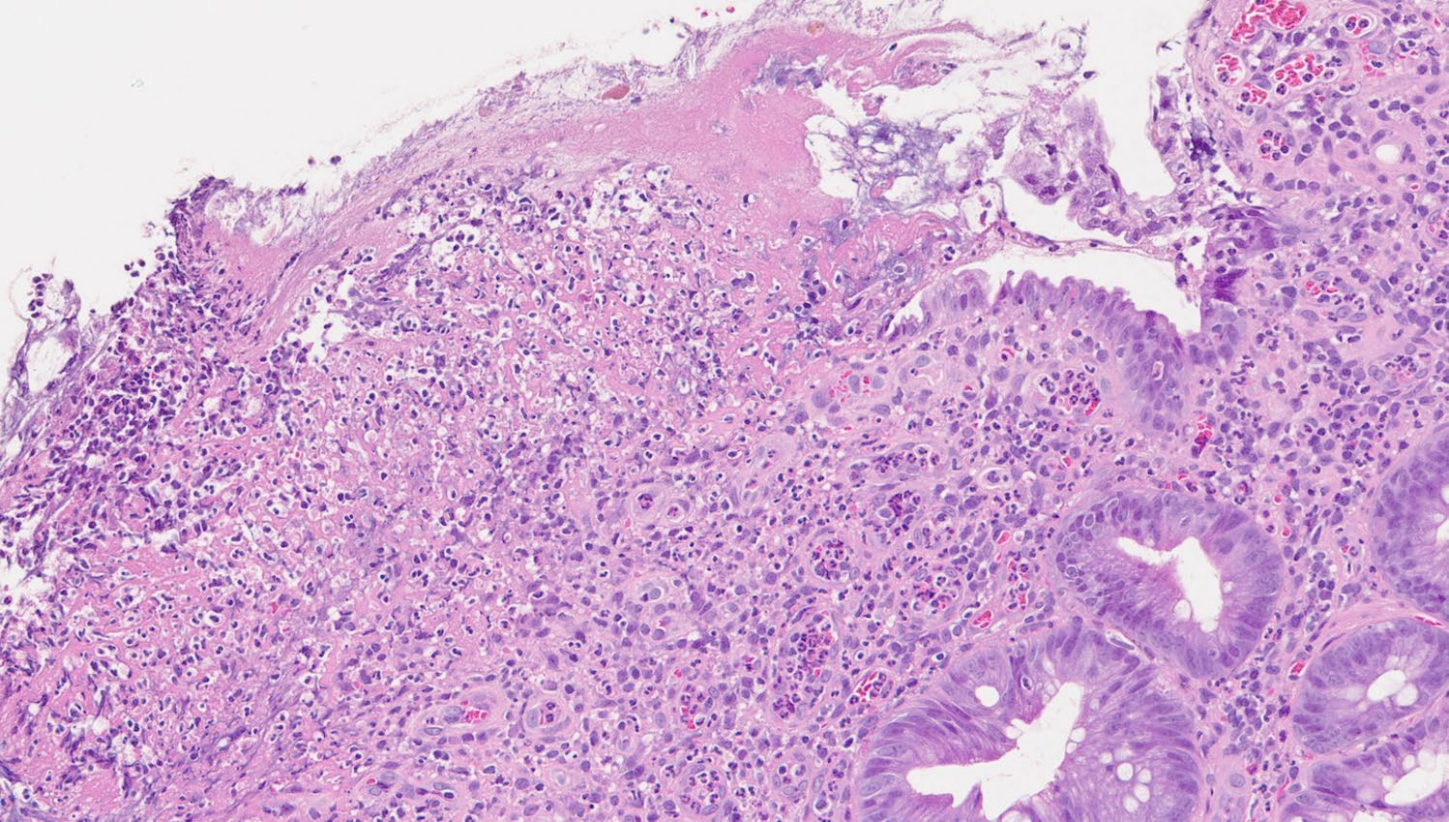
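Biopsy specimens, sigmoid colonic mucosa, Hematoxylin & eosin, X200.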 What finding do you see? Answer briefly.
Diffuse inflammatory cell infiltrate.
